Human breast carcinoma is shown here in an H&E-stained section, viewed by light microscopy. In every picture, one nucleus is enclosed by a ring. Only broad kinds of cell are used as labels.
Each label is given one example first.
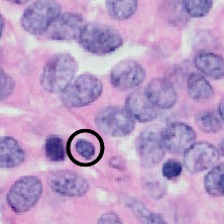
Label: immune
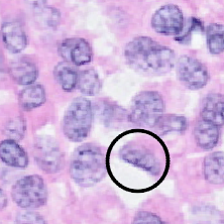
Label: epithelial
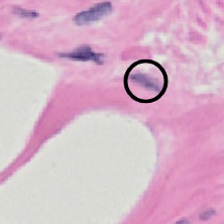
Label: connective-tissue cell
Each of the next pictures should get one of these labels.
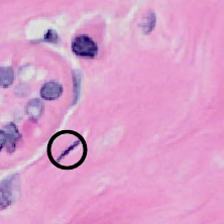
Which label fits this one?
connective-tissue cell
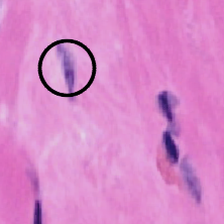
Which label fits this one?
connective-tissue cell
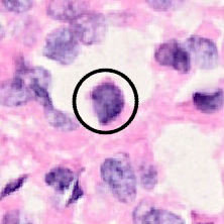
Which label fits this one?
epithelial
